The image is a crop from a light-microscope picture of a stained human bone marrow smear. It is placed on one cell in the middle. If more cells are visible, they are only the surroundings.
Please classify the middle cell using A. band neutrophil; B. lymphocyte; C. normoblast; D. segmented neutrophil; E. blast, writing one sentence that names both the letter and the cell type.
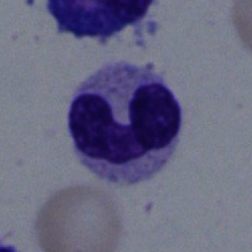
The cell in the center of this crop is a band neutrophil, so option A is the one to pick.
